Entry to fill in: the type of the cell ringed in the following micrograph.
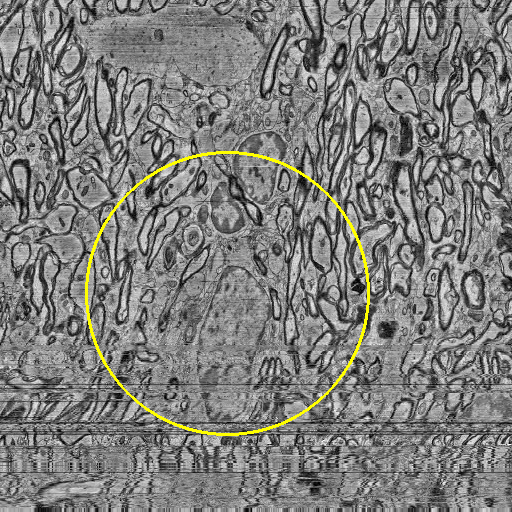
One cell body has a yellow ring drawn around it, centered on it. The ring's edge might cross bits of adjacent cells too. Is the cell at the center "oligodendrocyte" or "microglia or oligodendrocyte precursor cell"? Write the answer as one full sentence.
This entry names a microglial cell or oligodendrocyte precursor cell as the cell whose body lies at the ring's center.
